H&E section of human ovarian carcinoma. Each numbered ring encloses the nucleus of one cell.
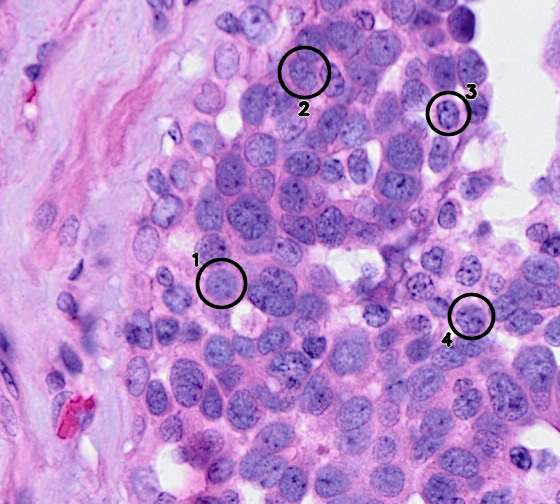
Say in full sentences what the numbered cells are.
Cells 1 and 2 are carcinoma cells. Cells 3 and 4 are macrophages or monocytes.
